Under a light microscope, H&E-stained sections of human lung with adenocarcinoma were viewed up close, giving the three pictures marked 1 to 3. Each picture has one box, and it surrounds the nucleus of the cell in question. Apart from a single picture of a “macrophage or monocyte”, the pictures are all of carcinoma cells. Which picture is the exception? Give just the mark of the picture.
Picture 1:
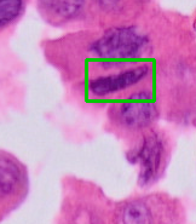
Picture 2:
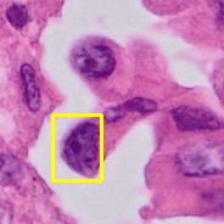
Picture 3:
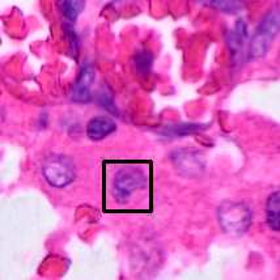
3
